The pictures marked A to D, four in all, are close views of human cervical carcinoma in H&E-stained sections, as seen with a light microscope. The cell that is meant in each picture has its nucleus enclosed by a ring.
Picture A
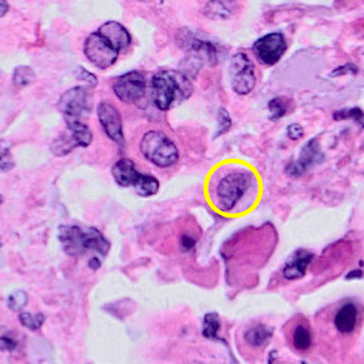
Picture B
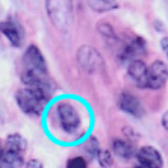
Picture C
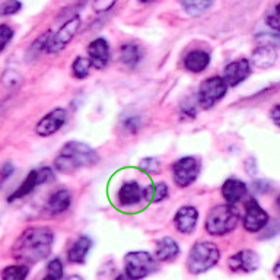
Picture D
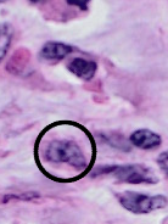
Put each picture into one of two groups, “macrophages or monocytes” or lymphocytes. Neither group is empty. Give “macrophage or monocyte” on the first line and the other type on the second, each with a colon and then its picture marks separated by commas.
macrophage or monocyte: A, D
lymphocyte: B, C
